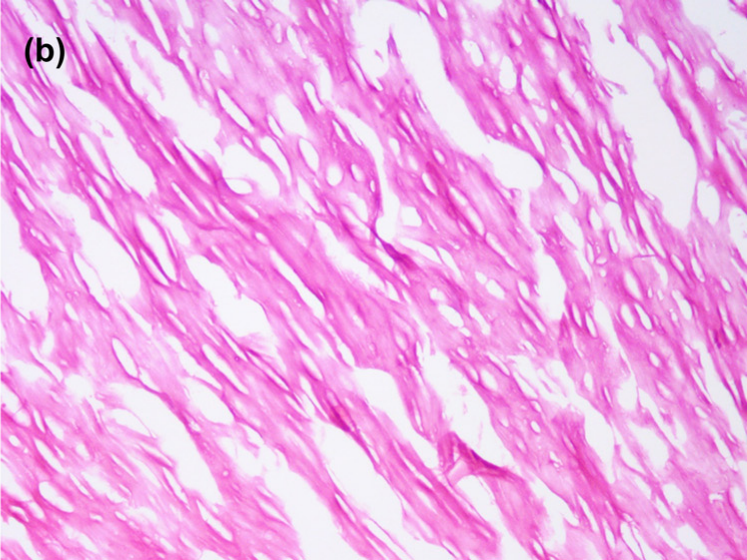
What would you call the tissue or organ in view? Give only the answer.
dense collagen connective tissues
